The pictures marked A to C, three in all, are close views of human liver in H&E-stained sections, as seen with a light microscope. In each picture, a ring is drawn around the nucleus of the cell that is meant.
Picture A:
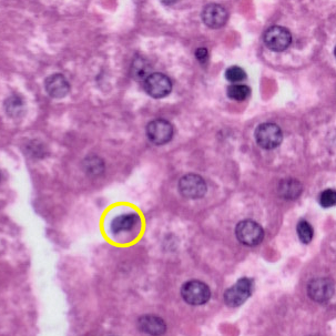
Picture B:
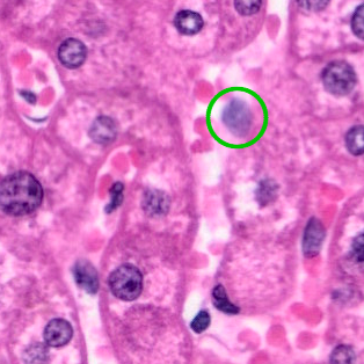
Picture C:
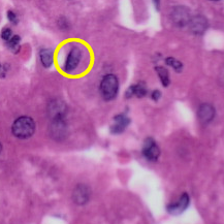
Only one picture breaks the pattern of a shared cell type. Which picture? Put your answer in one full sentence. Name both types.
The others show endothelial cells, but picture C shows a “fibroblast or stellate cell”.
